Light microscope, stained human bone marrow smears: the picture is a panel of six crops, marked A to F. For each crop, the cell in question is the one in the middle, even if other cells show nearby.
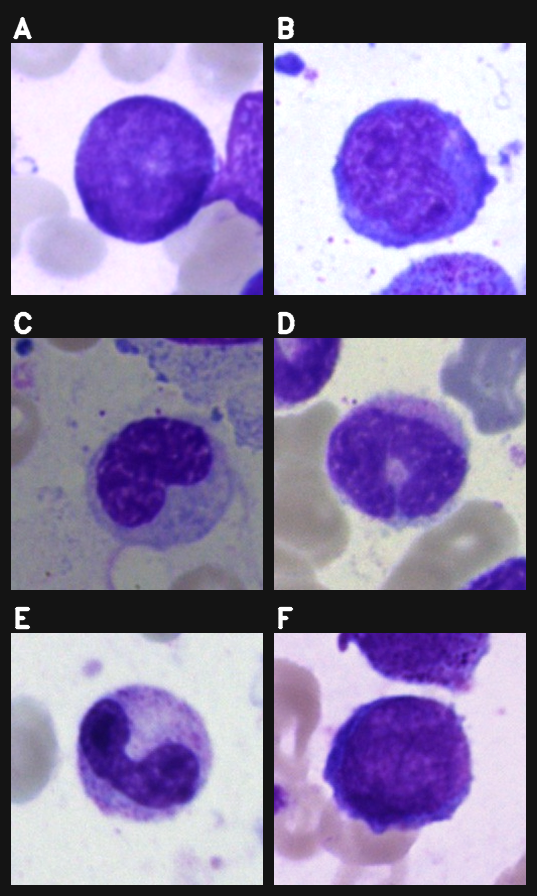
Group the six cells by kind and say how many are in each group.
blast: 3
band neutrophil: 2
monocyte: 1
